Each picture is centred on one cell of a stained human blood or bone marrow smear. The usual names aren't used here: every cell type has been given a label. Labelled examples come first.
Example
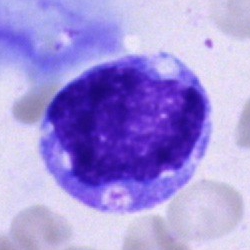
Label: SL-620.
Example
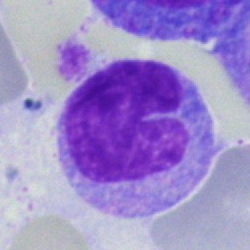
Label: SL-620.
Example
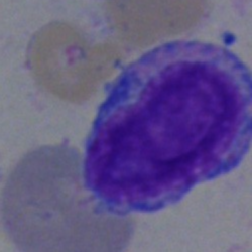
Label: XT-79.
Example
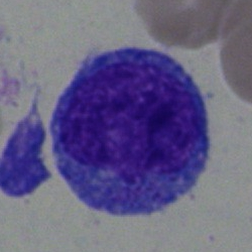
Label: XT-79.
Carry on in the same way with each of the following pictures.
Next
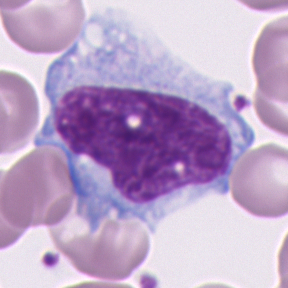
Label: SL-620.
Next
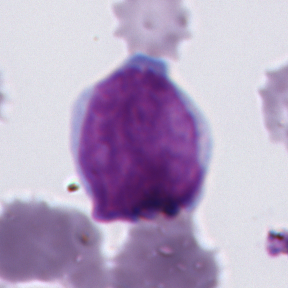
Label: XT-79.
